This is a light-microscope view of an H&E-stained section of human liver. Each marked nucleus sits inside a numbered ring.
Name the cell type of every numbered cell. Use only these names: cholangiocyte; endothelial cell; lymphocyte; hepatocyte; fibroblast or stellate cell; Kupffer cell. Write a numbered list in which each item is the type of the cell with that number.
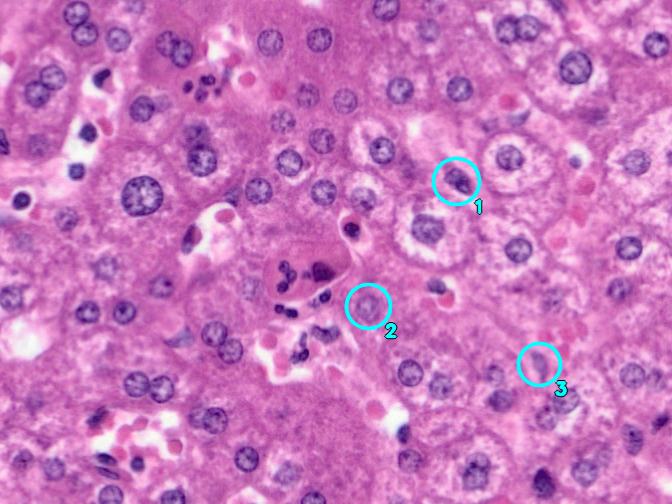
1. Kupffer cell
2. hepatocyte
3. Kupffer cell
